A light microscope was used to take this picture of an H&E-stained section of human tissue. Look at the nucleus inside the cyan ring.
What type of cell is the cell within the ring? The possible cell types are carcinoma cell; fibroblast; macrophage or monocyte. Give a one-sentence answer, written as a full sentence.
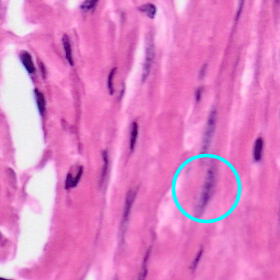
In the stained section, the cell within the ring is a fibroblast.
